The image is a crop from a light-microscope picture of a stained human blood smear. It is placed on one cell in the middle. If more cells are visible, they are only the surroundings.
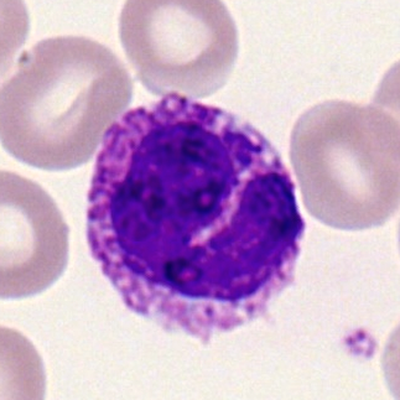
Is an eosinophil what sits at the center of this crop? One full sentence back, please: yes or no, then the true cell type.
No, the cell in the centre is to be called a basophil instead of an eosinophil.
